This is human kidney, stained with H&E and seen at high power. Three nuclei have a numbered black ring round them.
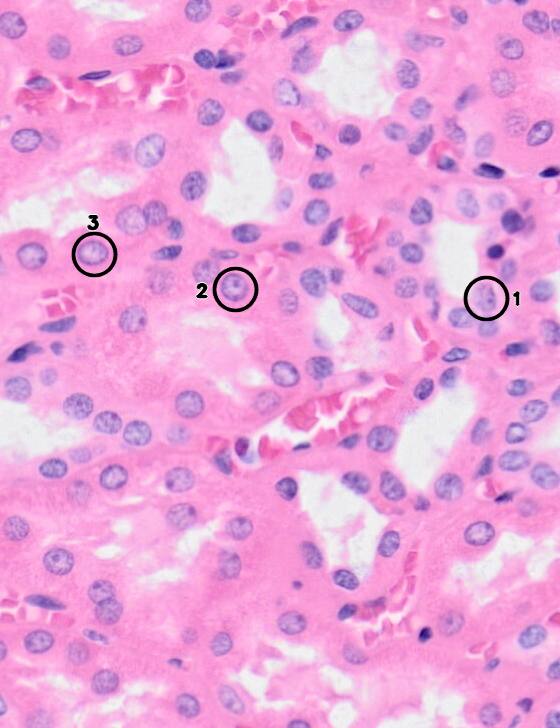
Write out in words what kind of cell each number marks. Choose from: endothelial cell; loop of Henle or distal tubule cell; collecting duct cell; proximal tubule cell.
Cell 1 is a collecting duct cell, cell 2 is a proximal tubule cell and cell 3 is a proximal tubule cell.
